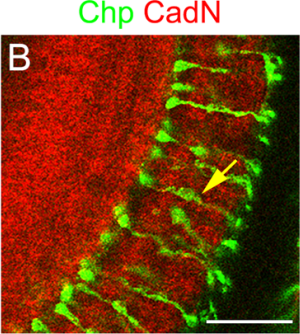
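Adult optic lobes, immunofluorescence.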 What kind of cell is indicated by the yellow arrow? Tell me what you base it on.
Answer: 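Photoreceptors. Green fibres run from the outer edge into the red neuropil. The green fibres end in regularly spaced columns at similar depth.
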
